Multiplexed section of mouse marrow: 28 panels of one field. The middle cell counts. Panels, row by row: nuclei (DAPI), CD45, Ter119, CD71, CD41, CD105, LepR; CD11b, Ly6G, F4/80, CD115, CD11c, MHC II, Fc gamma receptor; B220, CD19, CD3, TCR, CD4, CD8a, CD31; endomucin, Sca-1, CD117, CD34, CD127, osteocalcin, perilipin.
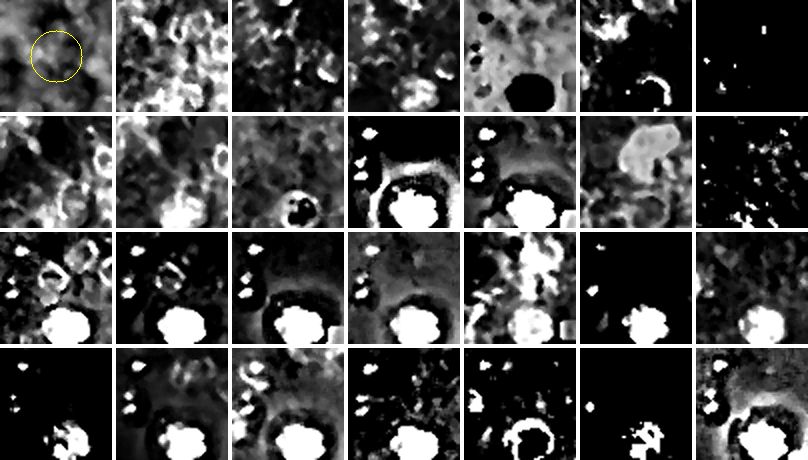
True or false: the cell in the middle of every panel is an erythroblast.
False; it is a conventional dendritic cell.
